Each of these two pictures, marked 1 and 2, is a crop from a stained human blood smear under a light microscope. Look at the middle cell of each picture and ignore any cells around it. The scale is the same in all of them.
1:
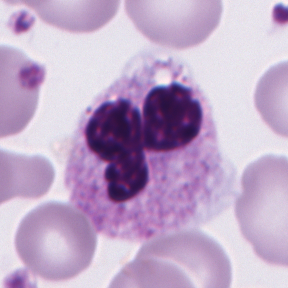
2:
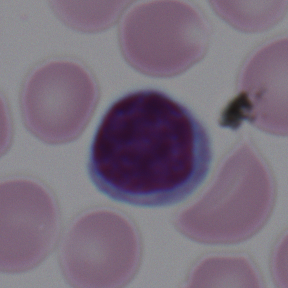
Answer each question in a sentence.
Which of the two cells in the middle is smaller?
Picture 2 holds the smaller cell, since the cell in picture 1 covers about 1.5 times as much area.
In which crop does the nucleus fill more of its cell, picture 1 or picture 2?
In picture 2 the nucleus takes up the larger part of its cell.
